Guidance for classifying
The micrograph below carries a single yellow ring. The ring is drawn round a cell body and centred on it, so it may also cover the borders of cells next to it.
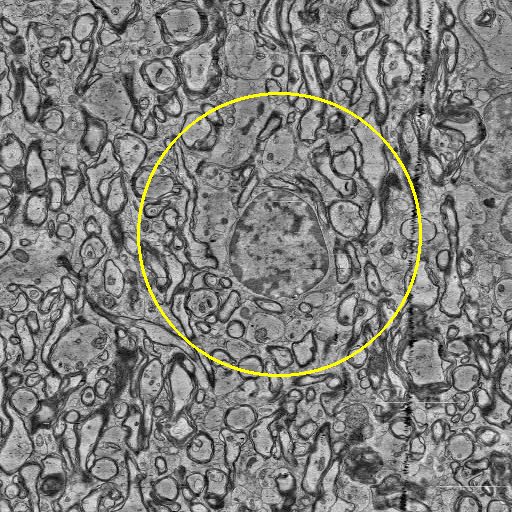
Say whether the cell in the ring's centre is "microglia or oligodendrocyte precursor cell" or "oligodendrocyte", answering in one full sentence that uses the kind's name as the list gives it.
Within the yellow ring, a microglial cell or oligodendrocyte precursor cell is the cell whose body sits at the centre.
